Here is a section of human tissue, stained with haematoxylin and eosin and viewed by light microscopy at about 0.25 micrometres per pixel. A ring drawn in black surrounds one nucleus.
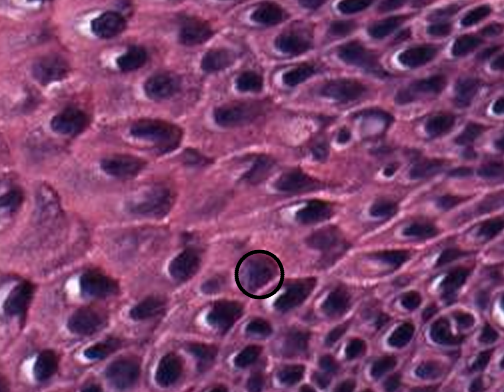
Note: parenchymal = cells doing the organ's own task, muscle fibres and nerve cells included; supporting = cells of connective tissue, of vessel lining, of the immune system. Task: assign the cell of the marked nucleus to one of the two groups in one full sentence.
A parenchymal cell holds the marked nucleus, and that cell is a squamous epithelial cell.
